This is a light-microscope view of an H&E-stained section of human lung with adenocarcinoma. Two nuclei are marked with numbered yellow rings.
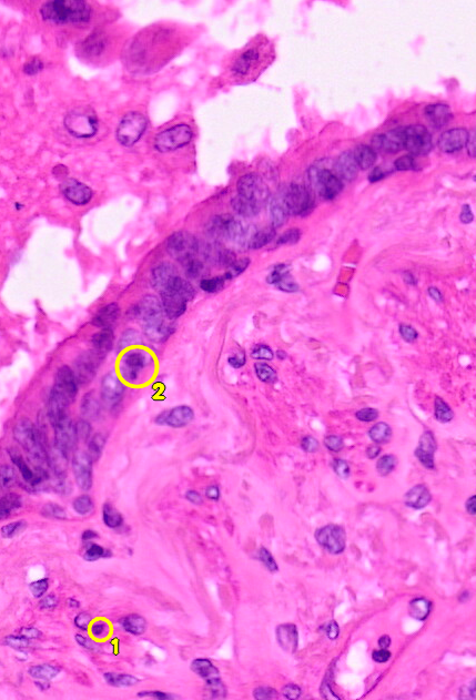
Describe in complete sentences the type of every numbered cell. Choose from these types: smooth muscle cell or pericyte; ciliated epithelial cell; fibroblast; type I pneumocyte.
Cell 1 is a smooth muscle cell or pericyte. Cell 2 is a ciliated epithelial cell.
